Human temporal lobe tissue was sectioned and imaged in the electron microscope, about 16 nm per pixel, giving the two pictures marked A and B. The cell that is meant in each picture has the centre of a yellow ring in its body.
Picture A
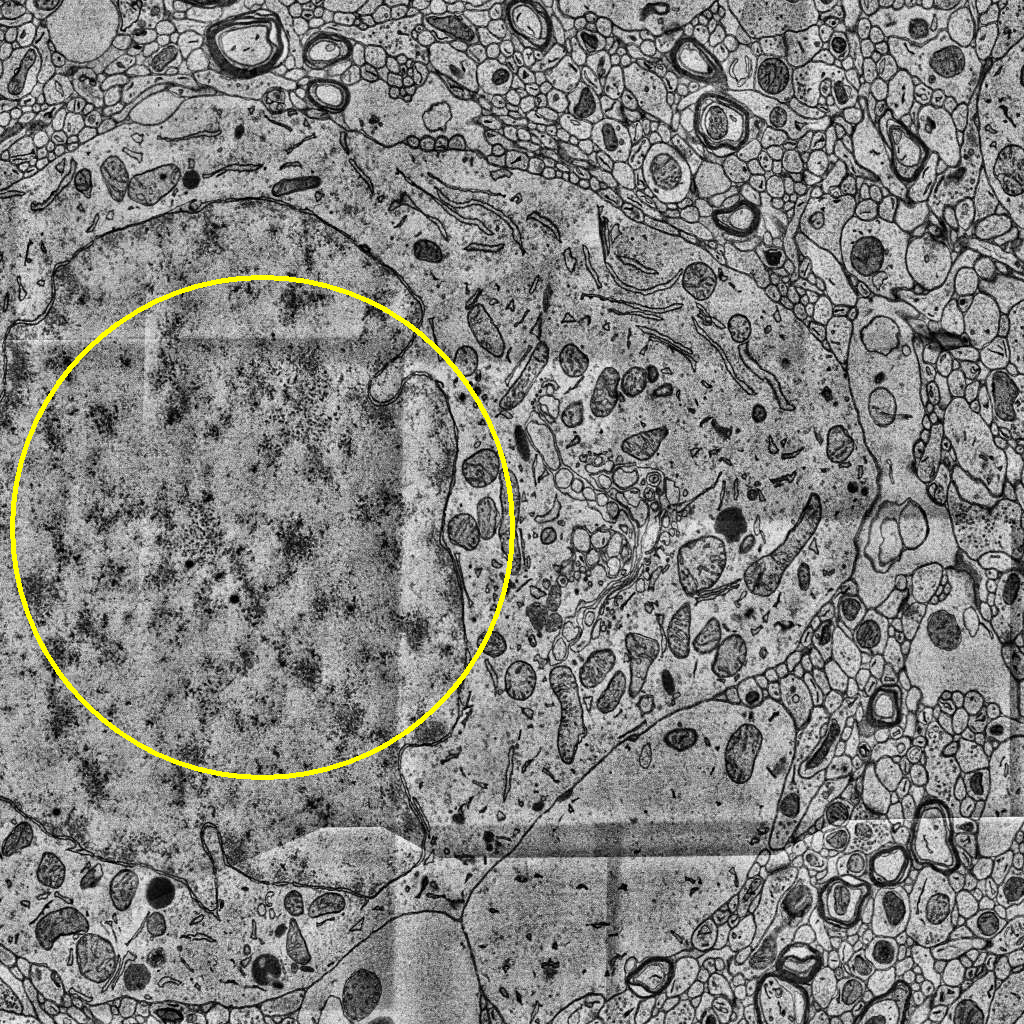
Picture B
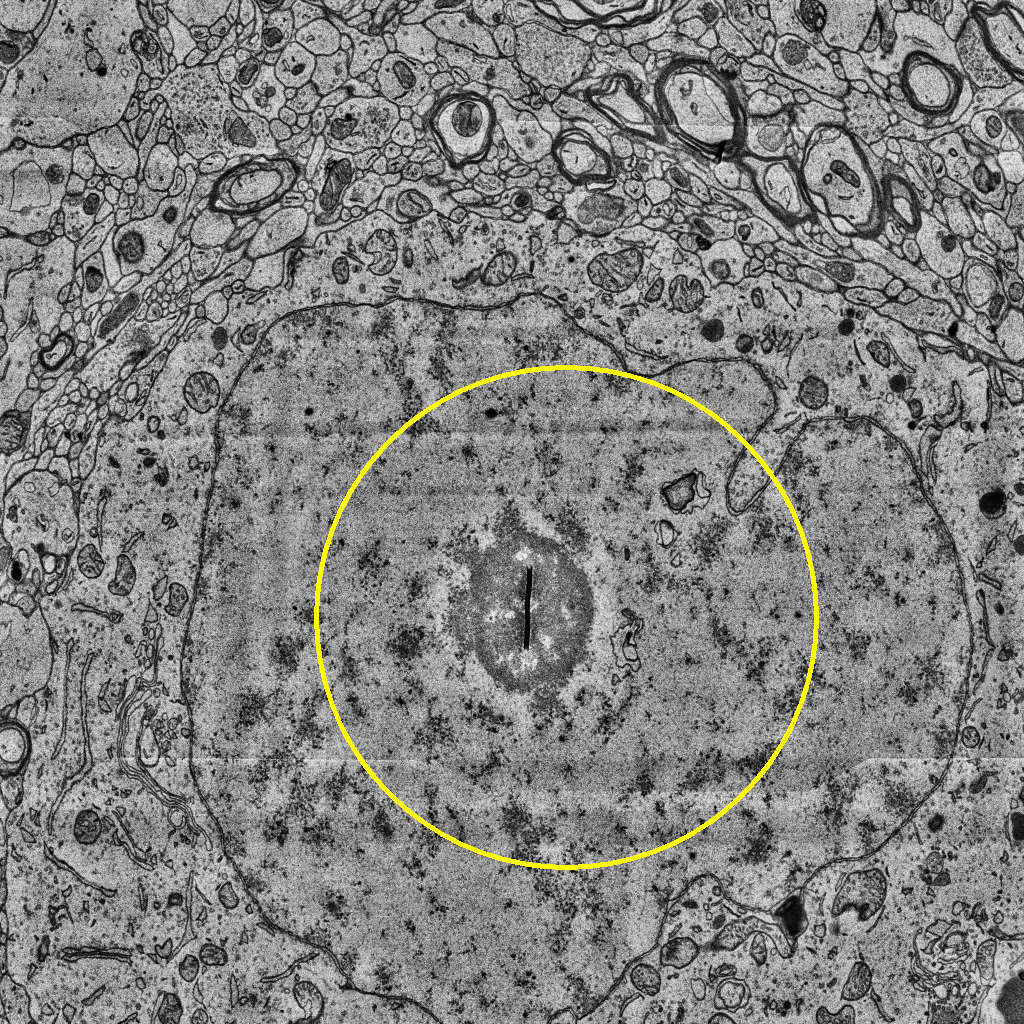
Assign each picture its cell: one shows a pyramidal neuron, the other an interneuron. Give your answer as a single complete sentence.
The cell in picture A is an interneuron, and the one in picture B is a pyramidal neuron.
